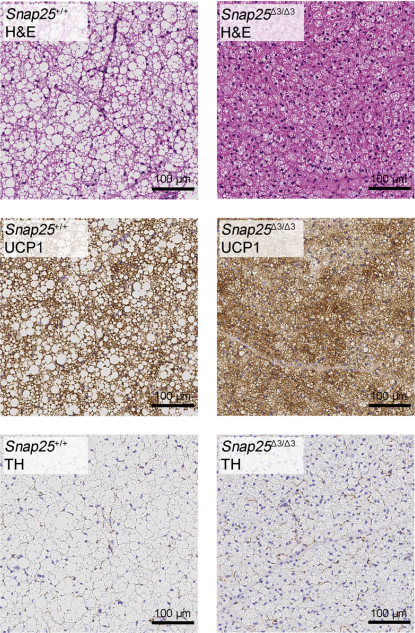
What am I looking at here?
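These are sections of brown fat tissue, shown as two columns of three images each. In the left column many cells contain clear lipid vacuoles of different sizes, some fairly large, giving a bubbly, open look. In the right column the tissue is compact, the cells hold only tiny droplets within pink-staining cytoplasm, and round dark nuclei are more densely packed. In the middle row the cytoplasm is stained brown throughout both images, most intensely in the compact right-hand tissue. In the bottom row fine brown threads run between the cells, more visibly in the right-hand image.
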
